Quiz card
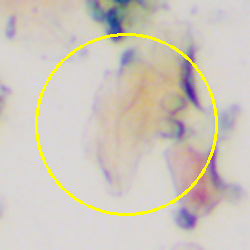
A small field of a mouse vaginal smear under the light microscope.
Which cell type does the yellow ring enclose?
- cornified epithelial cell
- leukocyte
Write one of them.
cornified epithelial cell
